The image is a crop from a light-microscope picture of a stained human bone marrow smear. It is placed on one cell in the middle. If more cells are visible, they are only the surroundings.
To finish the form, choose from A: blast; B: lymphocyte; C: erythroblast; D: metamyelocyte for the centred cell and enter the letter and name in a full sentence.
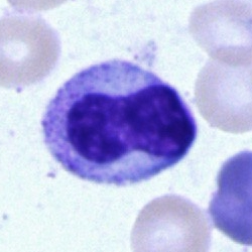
The central cell in this crop is a metamyelocyte, corresponding to option D, the correct option.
